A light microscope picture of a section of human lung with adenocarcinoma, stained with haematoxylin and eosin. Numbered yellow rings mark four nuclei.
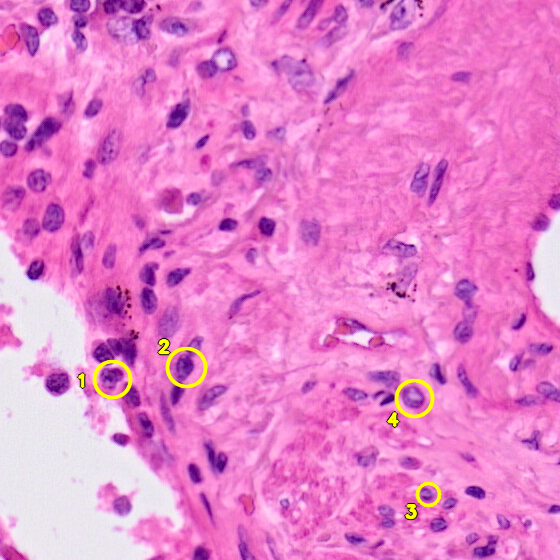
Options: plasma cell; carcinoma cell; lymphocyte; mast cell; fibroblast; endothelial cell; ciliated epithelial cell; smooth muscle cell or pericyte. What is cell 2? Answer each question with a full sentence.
At number 2, the marked cell is a lymphocyte.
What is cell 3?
Here, the cell given the number 3 is a smooth muscle cell or pericyte.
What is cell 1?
Among the marked nuclei, number 1 belongs to a lymphocyte.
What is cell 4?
Cell 4 in the field of view is a mast cell.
